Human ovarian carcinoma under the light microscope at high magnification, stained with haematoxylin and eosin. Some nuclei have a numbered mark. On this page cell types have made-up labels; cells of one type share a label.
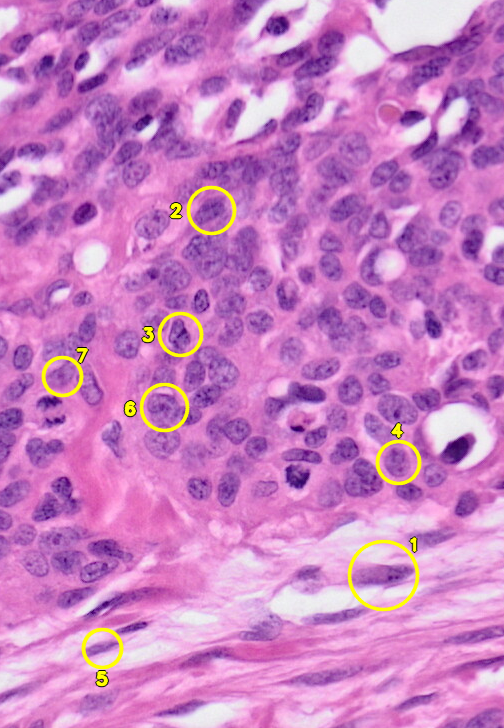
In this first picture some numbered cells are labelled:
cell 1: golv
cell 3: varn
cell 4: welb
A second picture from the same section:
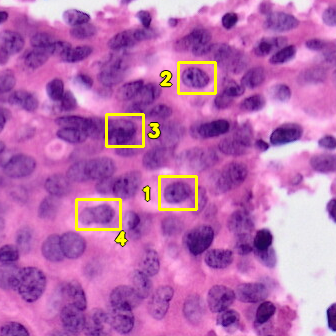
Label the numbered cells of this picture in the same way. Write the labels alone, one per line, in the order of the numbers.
varn
varn
welb
varn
